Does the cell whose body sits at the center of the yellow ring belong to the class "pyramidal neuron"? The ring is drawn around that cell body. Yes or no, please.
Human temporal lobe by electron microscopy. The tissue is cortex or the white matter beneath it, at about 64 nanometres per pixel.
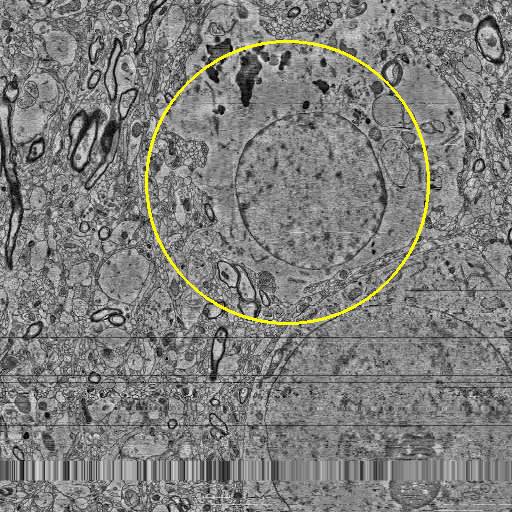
No, it belongs to another class.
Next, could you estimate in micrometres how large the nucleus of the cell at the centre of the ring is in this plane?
The nucleus measures about 10 micrometers across in this plane.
